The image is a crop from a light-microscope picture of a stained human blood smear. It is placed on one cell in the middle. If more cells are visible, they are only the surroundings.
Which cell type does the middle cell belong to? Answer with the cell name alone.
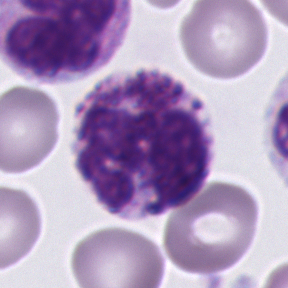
basophil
